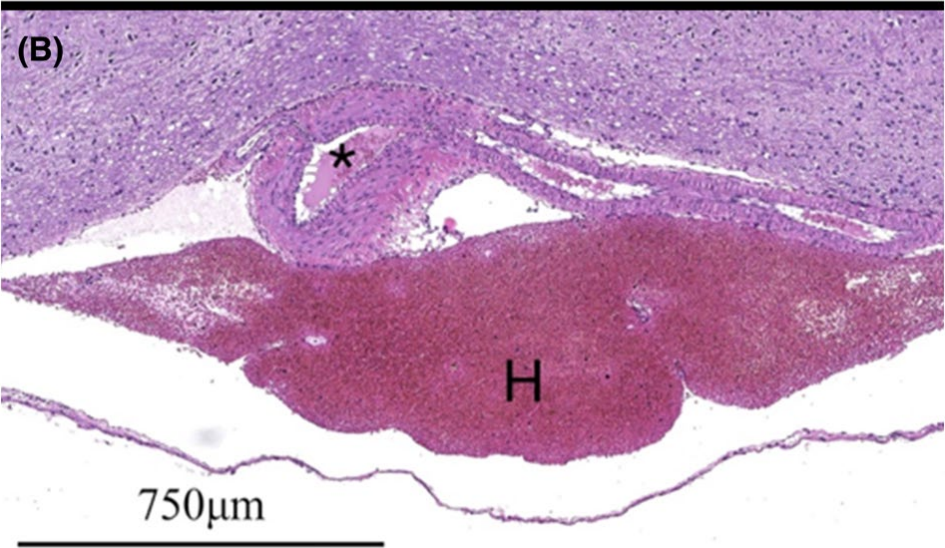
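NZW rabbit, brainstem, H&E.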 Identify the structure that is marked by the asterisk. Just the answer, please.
Basilar artery.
